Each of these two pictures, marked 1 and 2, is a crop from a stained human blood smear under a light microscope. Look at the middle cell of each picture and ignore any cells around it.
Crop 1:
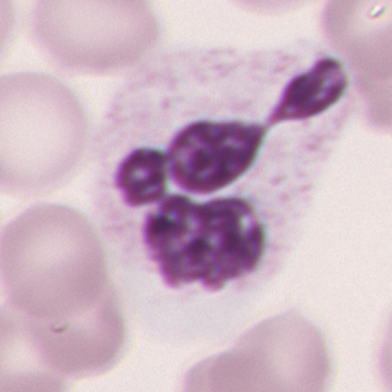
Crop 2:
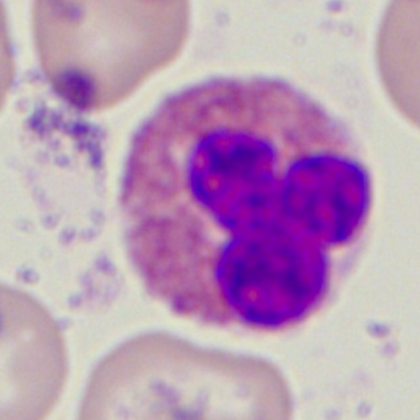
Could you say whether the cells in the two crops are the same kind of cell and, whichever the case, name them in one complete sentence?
No, crop 1 shows a segmented neutrophil, with an eosinophil shown in crop 2.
